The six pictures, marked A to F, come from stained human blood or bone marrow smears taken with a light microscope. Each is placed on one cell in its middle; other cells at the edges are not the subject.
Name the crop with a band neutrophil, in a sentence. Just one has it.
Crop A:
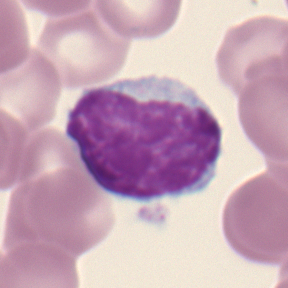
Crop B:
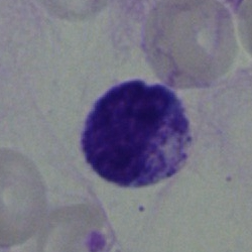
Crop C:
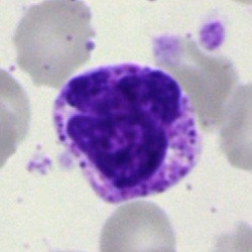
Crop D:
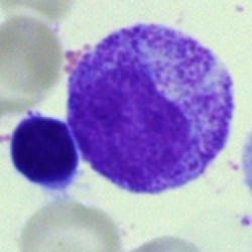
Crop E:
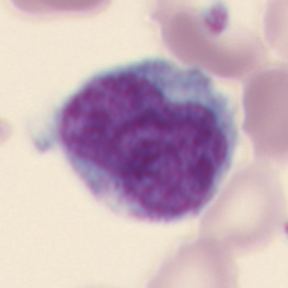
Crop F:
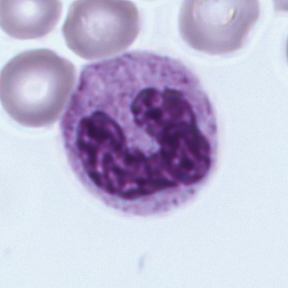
Only in crop F is a band neutrophil shown.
